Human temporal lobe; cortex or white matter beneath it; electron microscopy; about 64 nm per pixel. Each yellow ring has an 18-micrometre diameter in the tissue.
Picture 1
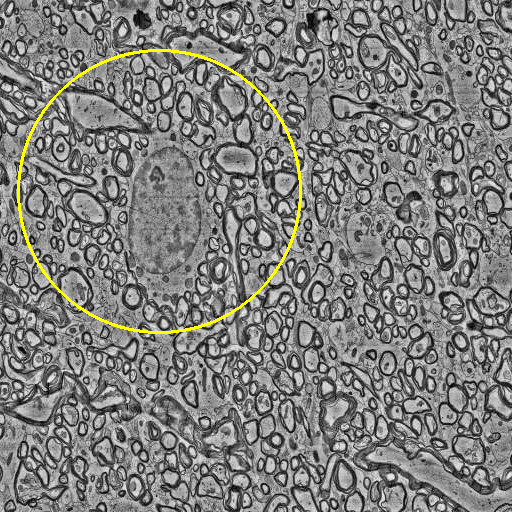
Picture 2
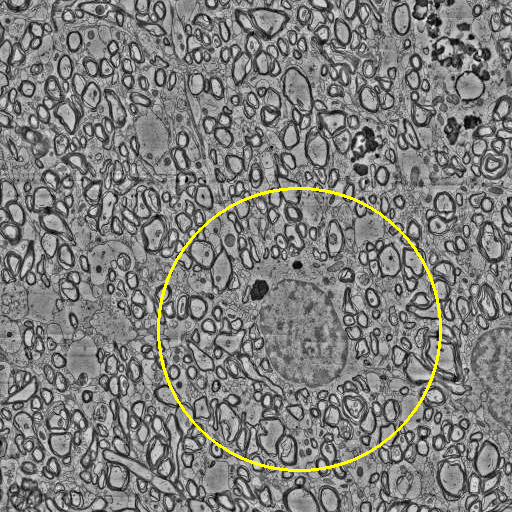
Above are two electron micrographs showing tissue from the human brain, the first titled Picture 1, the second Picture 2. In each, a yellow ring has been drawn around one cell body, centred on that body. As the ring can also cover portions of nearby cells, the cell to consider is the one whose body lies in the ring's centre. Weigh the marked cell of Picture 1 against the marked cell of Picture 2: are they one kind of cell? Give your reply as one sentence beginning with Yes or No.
Yes, the two cells sitting at the ring centres in the pictures are of one kind.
